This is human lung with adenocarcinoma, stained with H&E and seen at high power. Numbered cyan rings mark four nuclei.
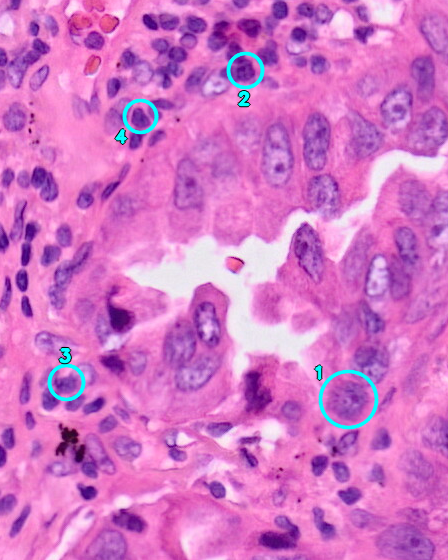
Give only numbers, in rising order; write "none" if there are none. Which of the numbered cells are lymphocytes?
2, 3, 4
